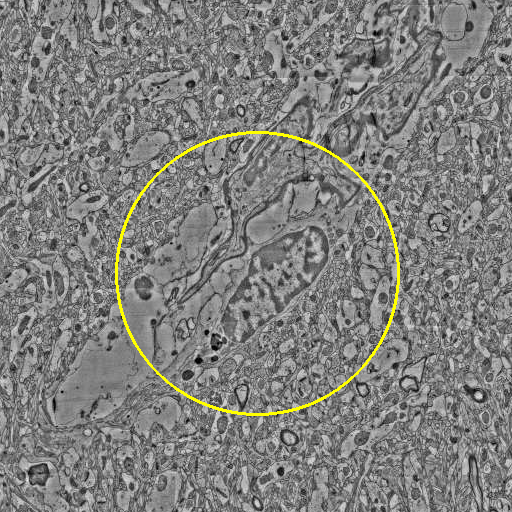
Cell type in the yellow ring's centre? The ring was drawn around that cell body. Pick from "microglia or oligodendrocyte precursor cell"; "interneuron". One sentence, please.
The ringed cell body is that of a microglial cell or oligodendrocyte precursor cell.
